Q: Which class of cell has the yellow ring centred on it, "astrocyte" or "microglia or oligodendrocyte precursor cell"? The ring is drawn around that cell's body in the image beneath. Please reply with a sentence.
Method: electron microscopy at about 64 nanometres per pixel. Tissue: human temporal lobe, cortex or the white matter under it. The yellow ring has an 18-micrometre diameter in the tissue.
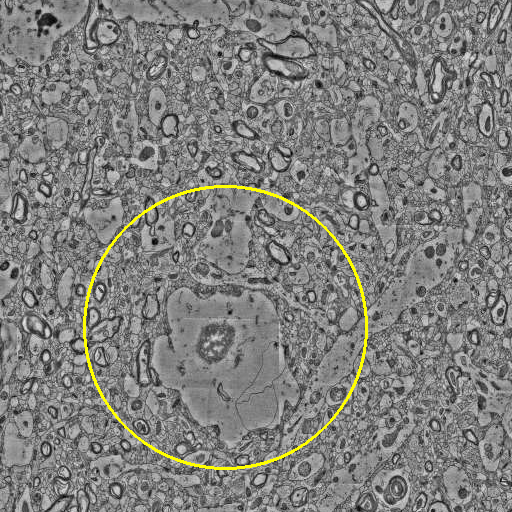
It is centred on an astrocyte.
